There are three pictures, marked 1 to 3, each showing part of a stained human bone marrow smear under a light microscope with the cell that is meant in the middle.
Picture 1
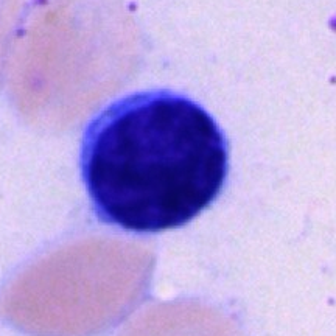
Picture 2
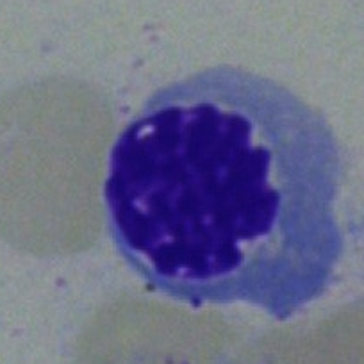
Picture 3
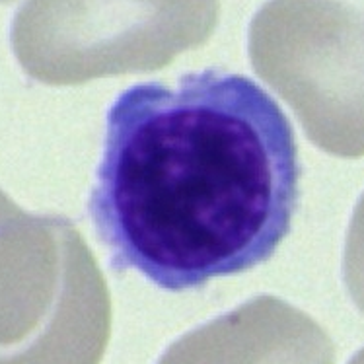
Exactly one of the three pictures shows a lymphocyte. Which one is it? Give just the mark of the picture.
1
